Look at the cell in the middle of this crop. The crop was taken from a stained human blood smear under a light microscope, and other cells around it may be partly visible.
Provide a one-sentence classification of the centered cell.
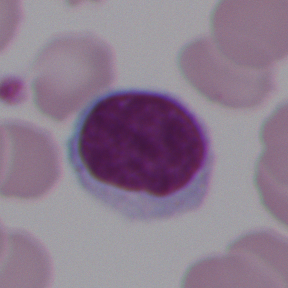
The middle position in this crop is taken by a typical lymphocyte.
